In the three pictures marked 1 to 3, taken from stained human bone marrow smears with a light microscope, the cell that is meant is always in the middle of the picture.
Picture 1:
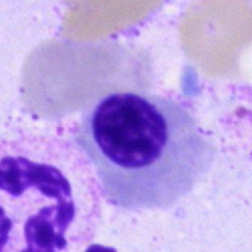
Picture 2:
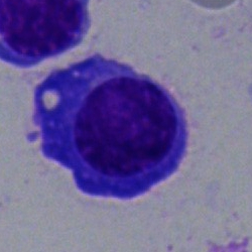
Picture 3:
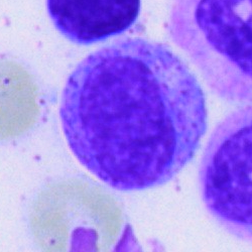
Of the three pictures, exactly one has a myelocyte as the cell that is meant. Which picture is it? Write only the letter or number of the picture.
3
